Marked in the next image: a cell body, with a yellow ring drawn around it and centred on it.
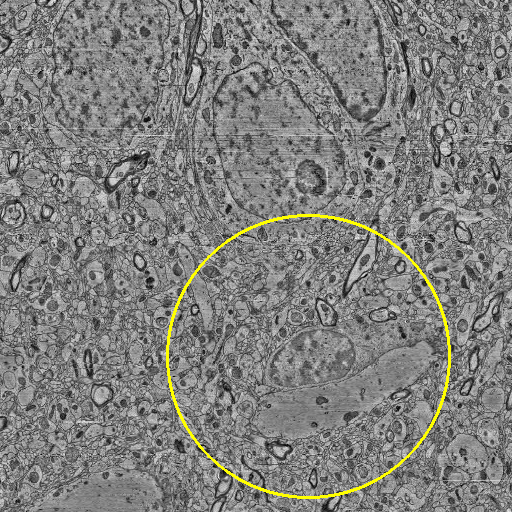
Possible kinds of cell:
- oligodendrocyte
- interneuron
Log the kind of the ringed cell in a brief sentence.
The ringed cell body is that of an oligodendrocyte.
